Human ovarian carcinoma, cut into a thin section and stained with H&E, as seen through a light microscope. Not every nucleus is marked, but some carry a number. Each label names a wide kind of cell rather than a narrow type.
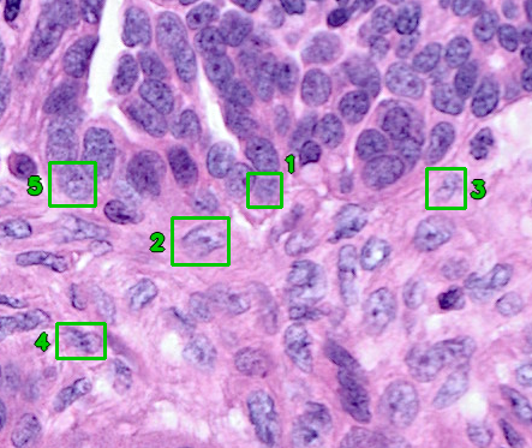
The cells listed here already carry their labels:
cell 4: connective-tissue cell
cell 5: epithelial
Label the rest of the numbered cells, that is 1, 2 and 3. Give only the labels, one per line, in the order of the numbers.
epithelial
connective-tissue cell
connective-tissue cell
